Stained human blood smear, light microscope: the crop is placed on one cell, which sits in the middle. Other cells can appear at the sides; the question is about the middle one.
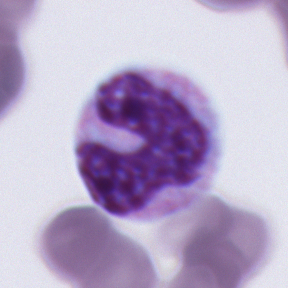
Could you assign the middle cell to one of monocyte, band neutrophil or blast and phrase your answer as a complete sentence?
Framed in the middle of the crop is a band neutrophil.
